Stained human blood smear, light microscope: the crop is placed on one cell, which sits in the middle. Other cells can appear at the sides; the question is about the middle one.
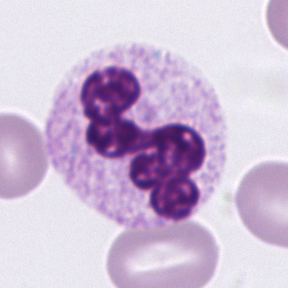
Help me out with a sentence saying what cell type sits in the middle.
The central cell, amid any neighbouring cells, is a segmented neutrophil.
